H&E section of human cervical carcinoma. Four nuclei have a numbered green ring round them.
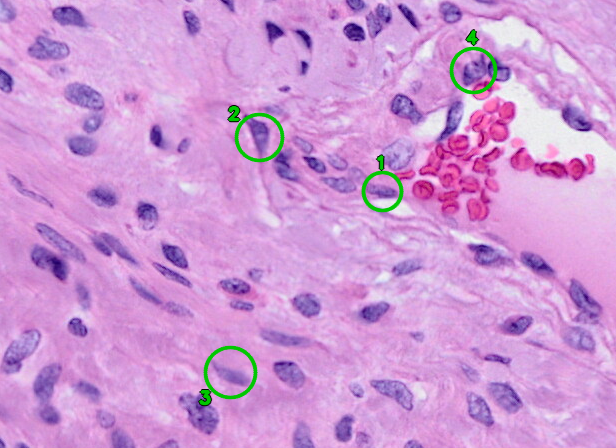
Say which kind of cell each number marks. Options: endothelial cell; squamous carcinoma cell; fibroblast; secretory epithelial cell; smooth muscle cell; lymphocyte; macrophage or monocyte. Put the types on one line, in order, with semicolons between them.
endothelial cell; smooth muscle cell; fibroblast; endothelial cell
